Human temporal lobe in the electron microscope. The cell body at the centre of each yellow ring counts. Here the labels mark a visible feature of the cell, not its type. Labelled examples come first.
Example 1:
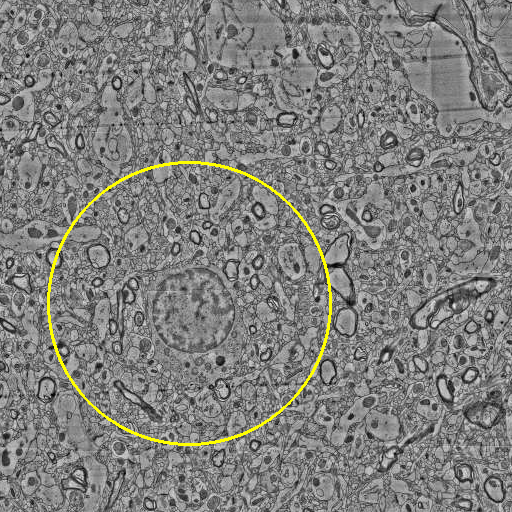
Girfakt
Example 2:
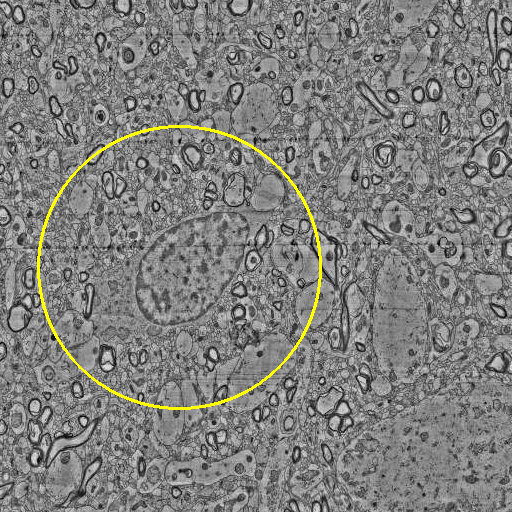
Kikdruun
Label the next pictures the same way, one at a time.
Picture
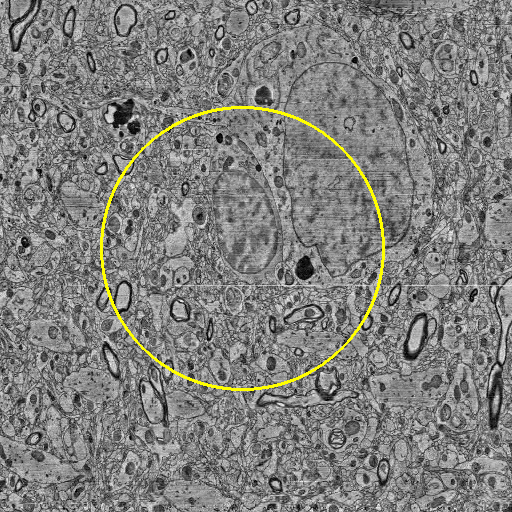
Kikdruun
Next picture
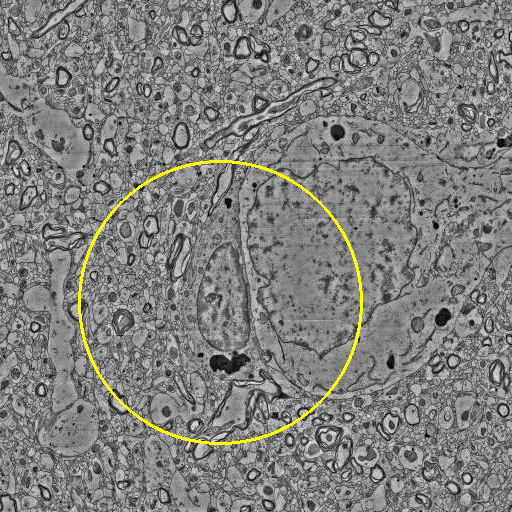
Kikdruun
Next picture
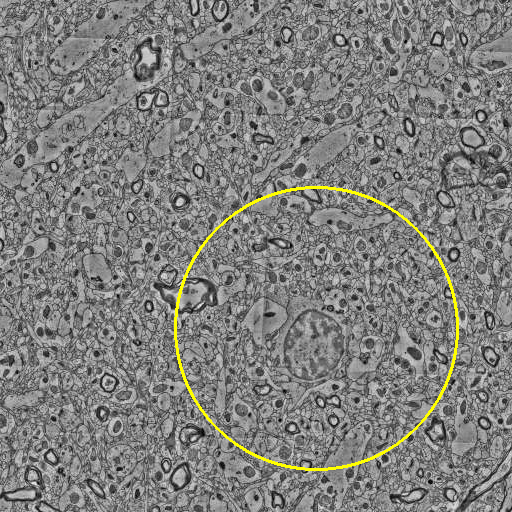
Girfakt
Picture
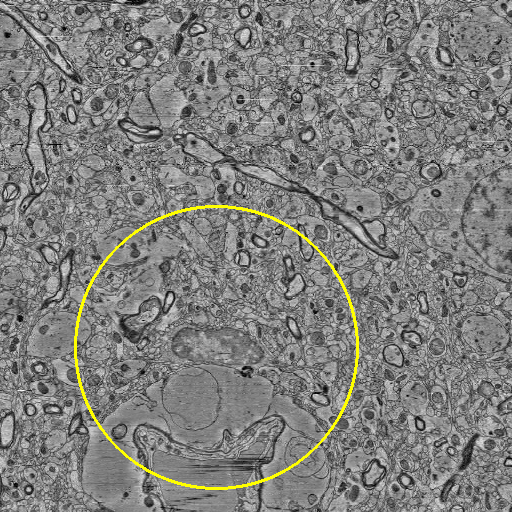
Kikdruun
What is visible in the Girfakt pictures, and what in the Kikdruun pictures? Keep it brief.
Girfakt: round or nearly round nuclei; Kikdruun: clearly elongated nuclei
